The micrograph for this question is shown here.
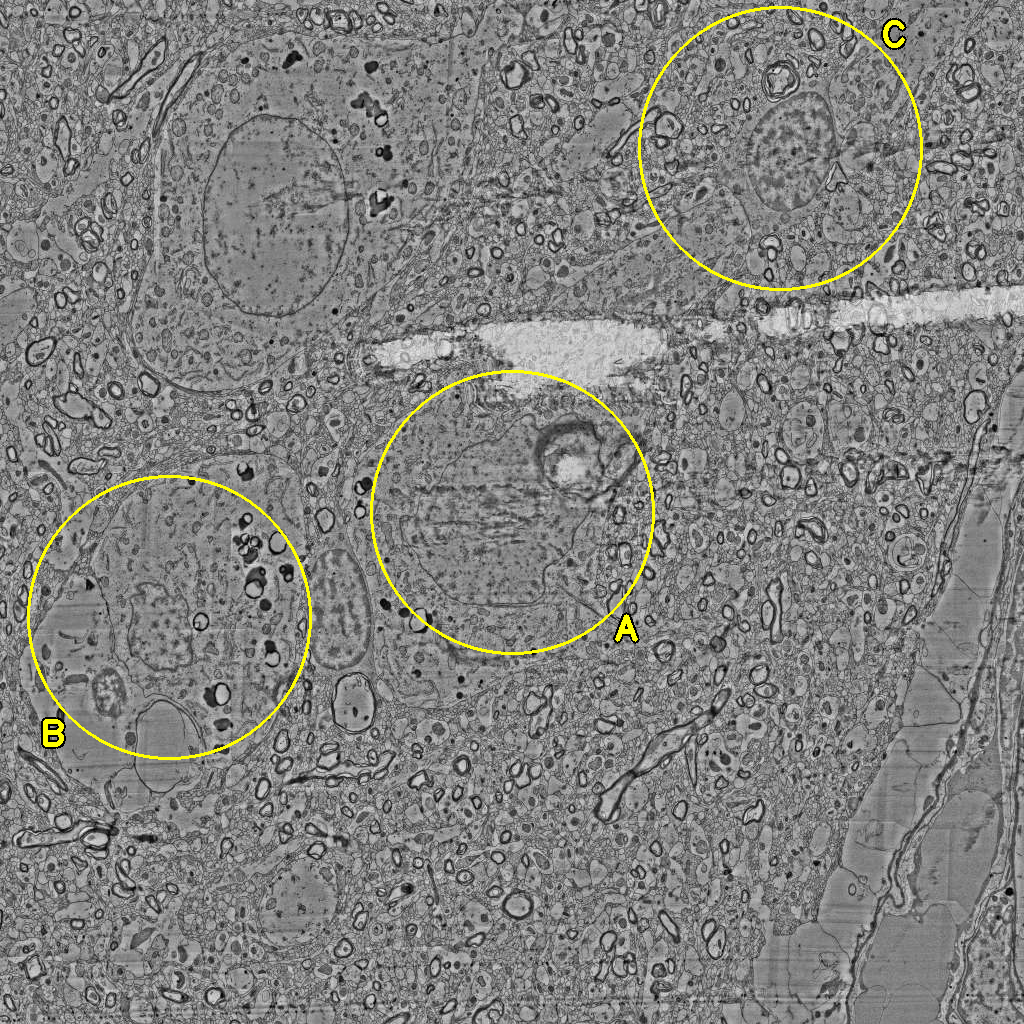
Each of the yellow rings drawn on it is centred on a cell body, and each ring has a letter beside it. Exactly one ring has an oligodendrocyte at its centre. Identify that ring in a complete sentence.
The ring centred on it is ring C.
